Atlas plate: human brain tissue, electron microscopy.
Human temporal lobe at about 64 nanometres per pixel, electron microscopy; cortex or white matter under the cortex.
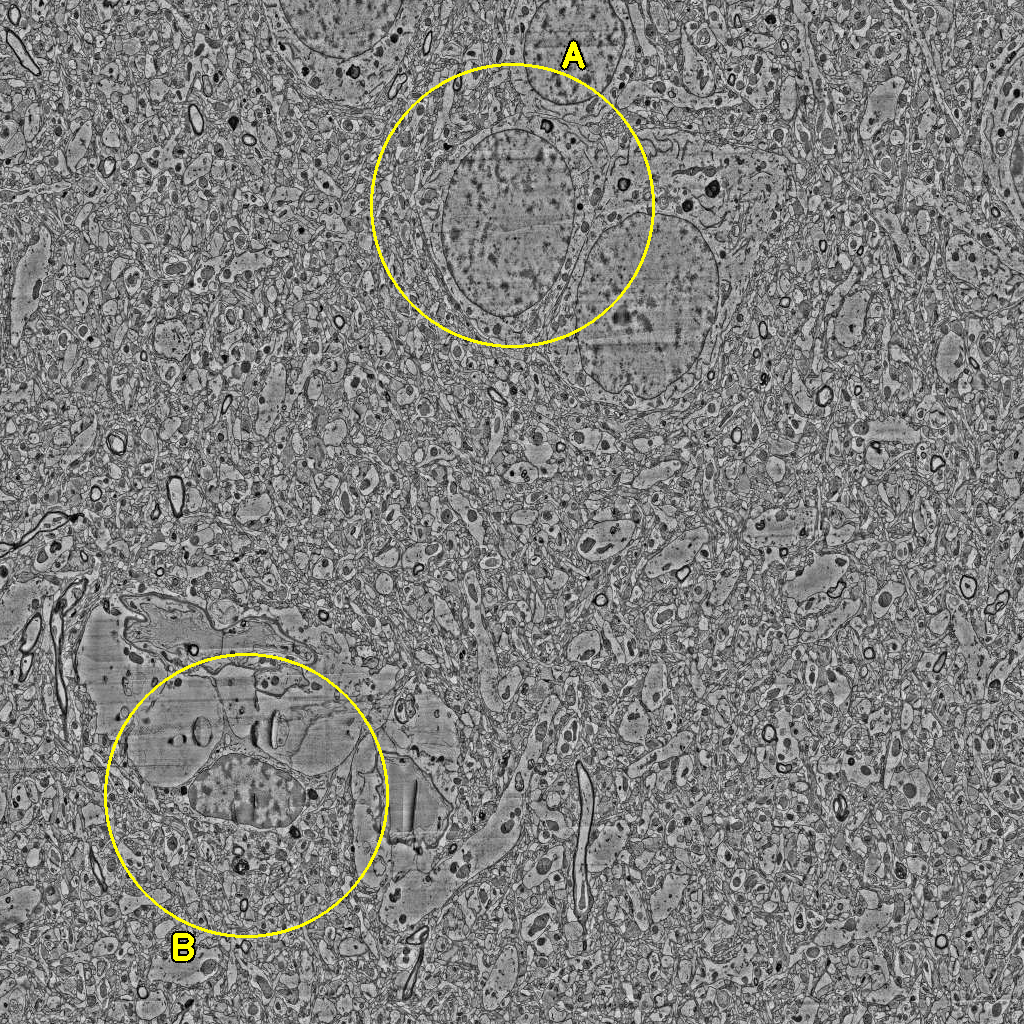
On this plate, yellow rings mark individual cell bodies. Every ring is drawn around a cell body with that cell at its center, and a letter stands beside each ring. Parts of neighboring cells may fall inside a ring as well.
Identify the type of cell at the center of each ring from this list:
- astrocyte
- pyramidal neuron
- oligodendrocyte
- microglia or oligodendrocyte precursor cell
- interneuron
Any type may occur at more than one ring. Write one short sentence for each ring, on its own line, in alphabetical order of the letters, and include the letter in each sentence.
At the center of ring A lies a pyramidal neuron.
At the center of ring B lies a microglial cell or oligodendrocyte precursor cell.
